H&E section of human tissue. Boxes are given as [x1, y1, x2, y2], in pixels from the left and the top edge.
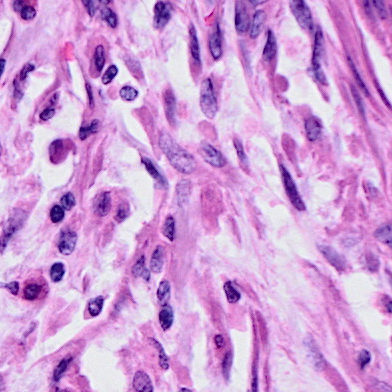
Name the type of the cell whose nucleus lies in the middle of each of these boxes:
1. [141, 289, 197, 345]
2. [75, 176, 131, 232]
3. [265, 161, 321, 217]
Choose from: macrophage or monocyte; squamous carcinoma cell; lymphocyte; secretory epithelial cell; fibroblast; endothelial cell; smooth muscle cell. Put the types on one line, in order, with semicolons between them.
lymphocyte; macrophage or monocyte; fibroblast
